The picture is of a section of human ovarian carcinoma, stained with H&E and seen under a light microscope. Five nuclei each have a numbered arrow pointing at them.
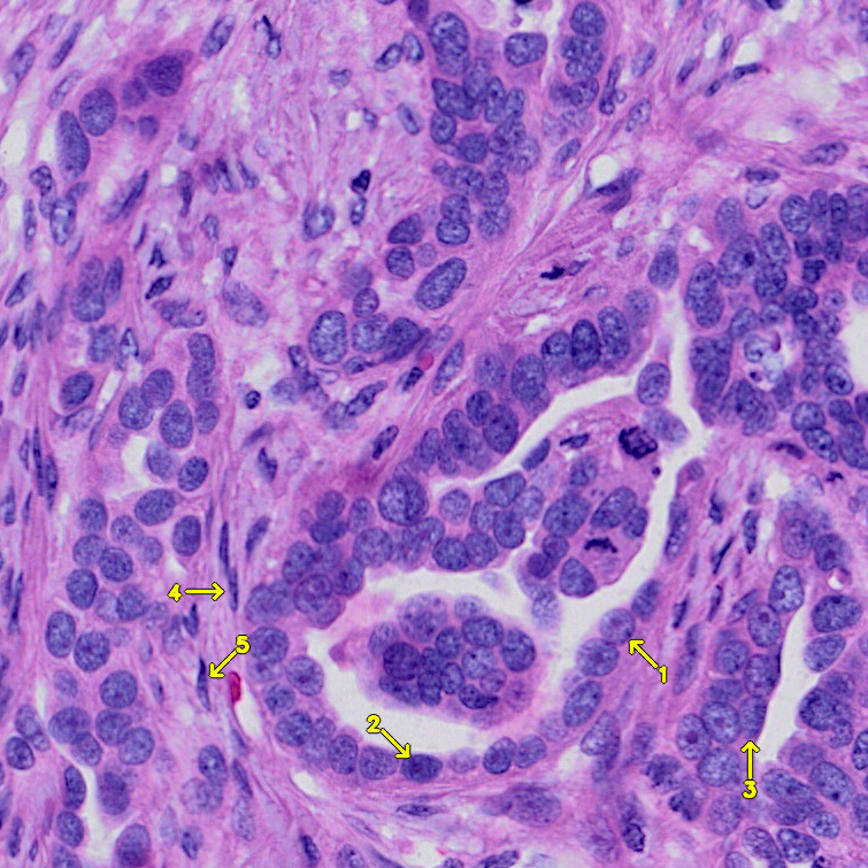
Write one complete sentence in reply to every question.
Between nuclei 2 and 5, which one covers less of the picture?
It is nucleus 5; nucleus 2 has about 2 times its area.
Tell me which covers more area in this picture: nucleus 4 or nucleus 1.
It is nucleus 1, which covers about 2.5 times the area of nucleus 4.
